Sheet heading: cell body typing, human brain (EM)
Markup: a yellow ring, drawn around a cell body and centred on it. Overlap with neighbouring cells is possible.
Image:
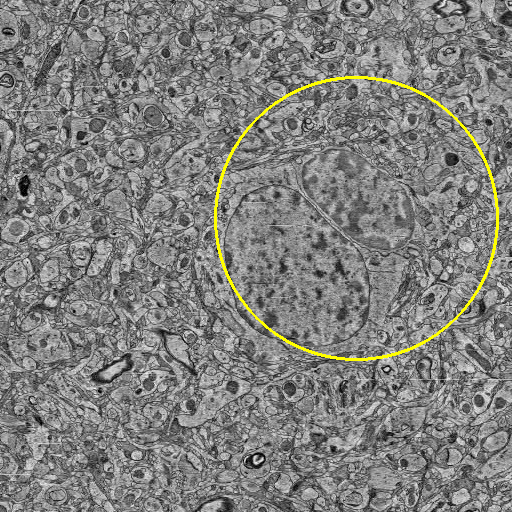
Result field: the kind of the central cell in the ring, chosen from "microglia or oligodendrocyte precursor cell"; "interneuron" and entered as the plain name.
microglia or oligodendrocyte precursor cell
